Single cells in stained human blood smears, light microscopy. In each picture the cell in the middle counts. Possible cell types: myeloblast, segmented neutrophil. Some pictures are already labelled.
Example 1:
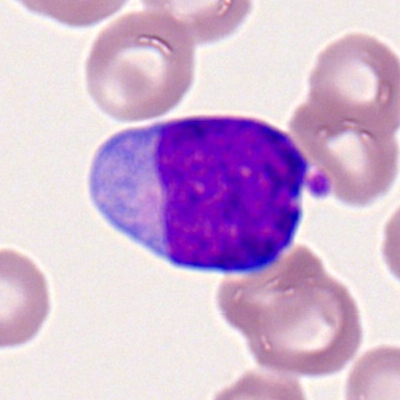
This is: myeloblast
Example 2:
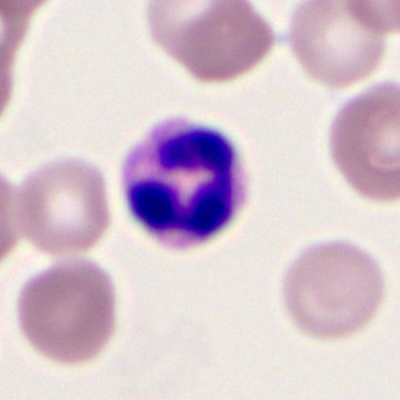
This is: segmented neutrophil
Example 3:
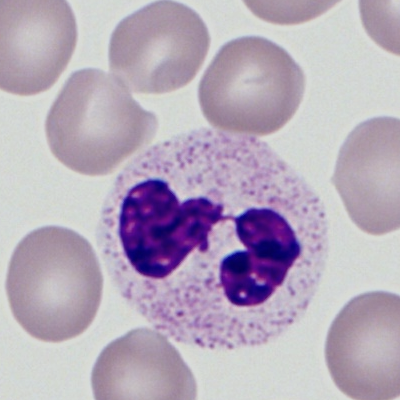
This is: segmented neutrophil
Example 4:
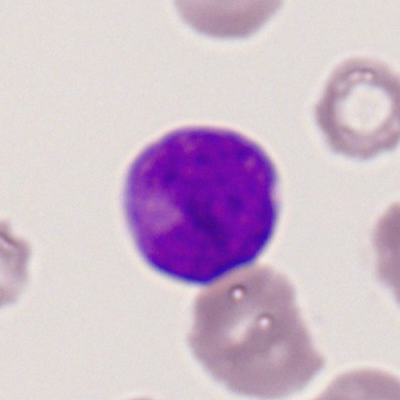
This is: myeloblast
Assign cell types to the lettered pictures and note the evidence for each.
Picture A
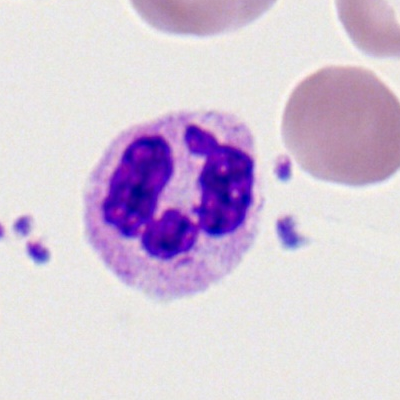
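segmented neutrophil: The cytoplasm is abundant and pale pinkish-lilac.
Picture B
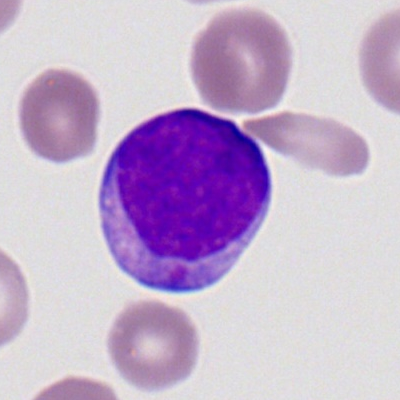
myeloblast: The nucleus fills most of the cell and sits toward its upper right.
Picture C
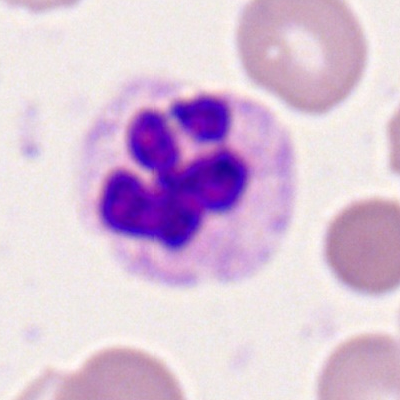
segmented neutrophil: The nucleus is divided into several separate lobes.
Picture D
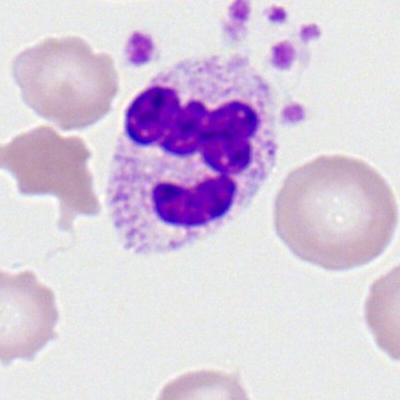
segmented neutrophil: The cytoplasm is plentiful and pale pinkish-lilac.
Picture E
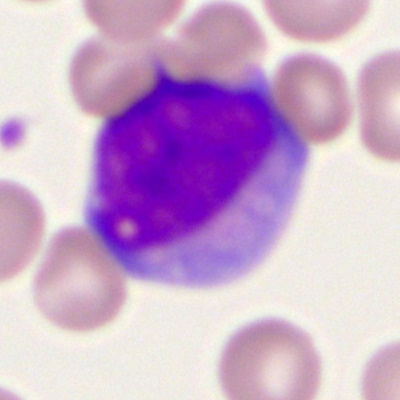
myeloblast: The nucleus fills most of the cell and sits toward the upper left.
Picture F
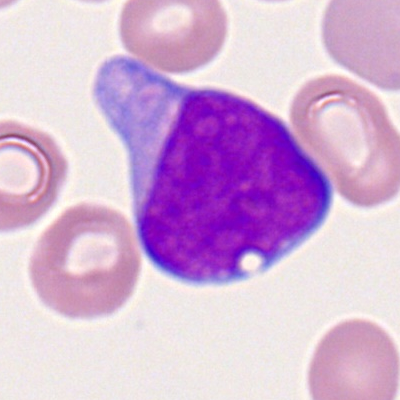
myeloblast: The nucleus fills most of the cell, leaving little cytoplasm.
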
